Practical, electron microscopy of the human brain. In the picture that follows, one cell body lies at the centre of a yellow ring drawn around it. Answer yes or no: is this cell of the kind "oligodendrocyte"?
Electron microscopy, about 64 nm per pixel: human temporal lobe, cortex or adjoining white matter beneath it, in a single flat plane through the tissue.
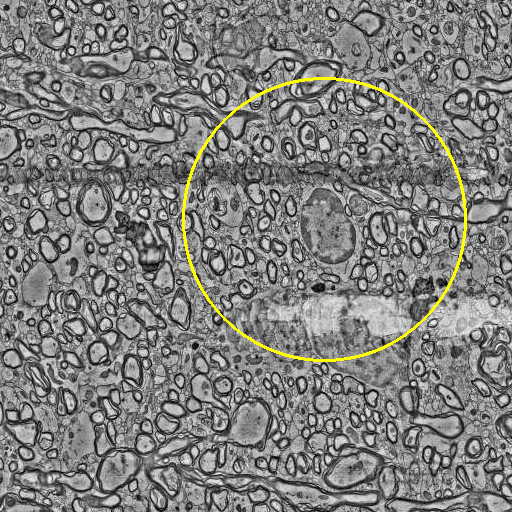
no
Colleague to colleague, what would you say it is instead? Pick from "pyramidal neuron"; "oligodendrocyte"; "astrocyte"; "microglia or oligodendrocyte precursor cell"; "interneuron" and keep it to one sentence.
What the ring is centred on is a microglial cell or oligodendrocyte precursor cell.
